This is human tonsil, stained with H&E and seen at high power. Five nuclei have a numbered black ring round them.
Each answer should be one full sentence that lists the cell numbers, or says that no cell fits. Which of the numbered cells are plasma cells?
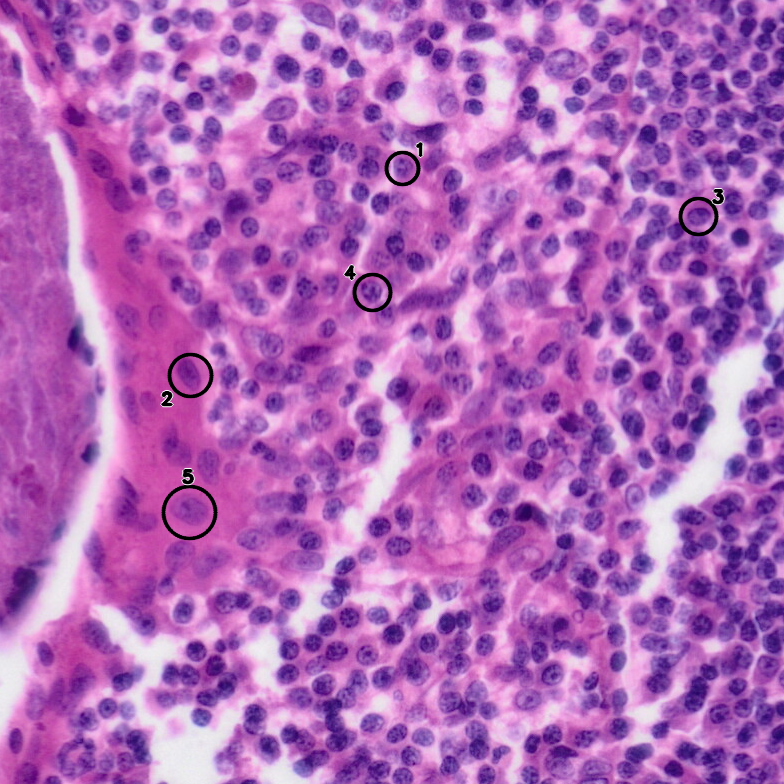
Within this tissue, the cells numbered 1, 3 and 4 are plasma cells.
